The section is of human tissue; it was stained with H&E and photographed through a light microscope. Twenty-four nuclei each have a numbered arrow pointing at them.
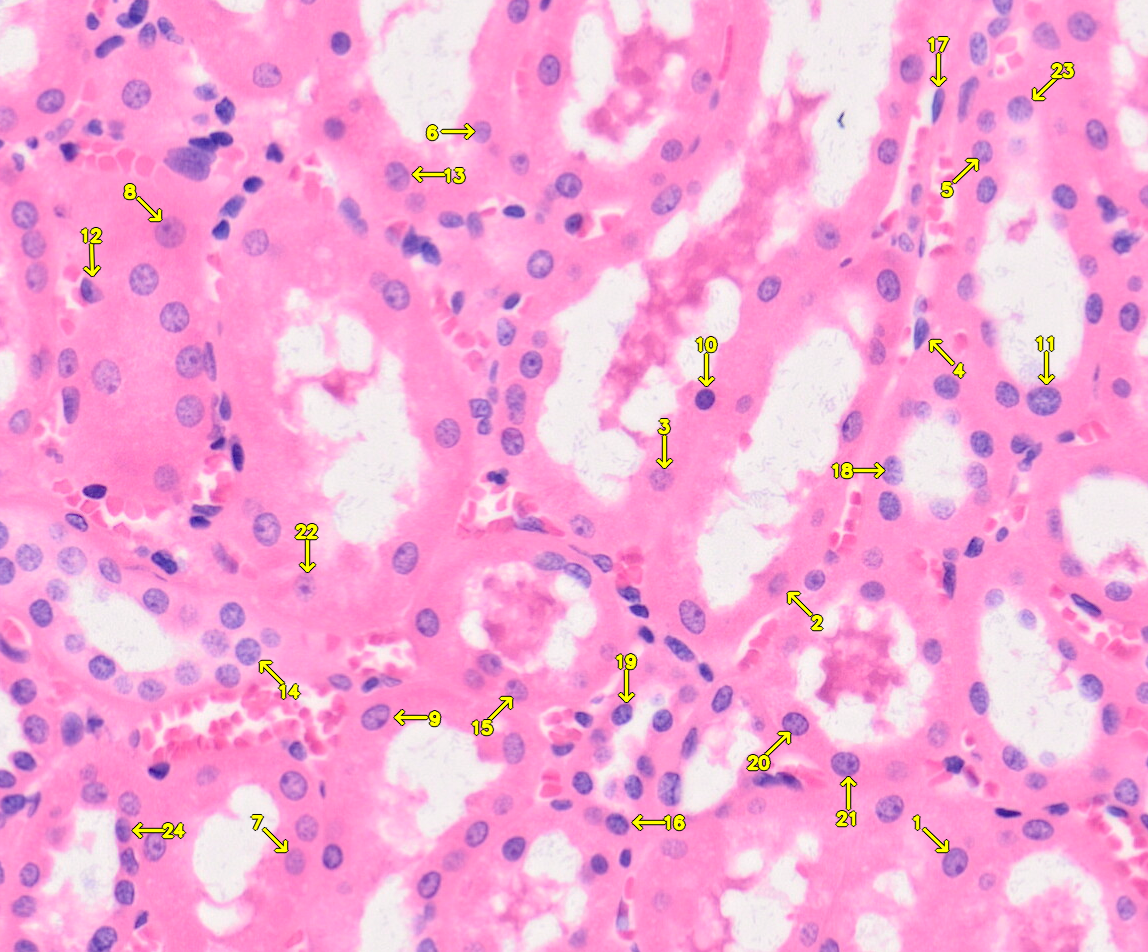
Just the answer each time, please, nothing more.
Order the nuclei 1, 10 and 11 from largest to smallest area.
11, 1, 10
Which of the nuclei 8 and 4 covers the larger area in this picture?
8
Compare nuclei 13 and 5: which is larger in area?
13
